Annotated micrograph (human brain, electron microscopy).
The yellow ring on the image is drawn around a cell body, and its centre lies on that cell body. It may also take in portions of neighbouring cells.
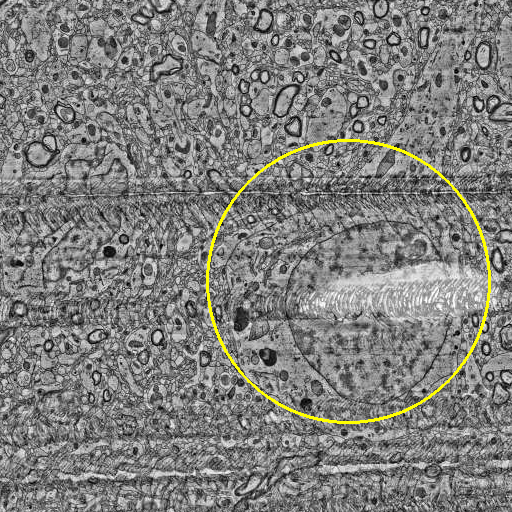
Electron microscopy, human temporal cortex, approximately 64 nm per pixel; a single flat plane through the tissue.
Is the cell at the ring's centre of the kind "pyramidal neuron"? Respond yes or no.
Yes, it is of the named kind.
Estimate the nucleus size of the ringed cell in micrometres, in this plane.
In this plane, the nucleus measures approximately 11 micrometres across.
